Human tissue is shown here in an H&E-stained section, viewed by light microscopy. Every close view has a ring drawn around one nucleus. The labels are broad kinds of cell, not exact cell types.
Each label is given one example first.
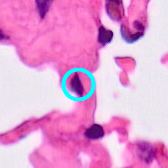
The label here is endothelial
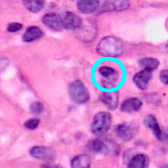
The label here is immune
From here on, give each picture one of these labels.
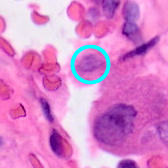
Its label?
immune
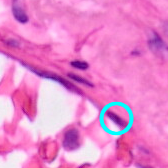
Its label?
endothelial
